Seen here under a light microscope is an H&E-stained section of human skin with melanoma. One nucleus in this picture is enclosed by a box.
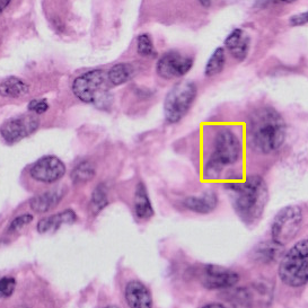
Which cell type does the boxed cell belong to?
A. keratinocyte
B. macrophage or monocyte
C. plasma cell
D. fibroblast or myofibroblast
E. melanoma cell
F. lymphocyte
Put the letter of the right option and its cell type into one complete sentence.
Since the boxed cell is a melanoma cell, option E is correct.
